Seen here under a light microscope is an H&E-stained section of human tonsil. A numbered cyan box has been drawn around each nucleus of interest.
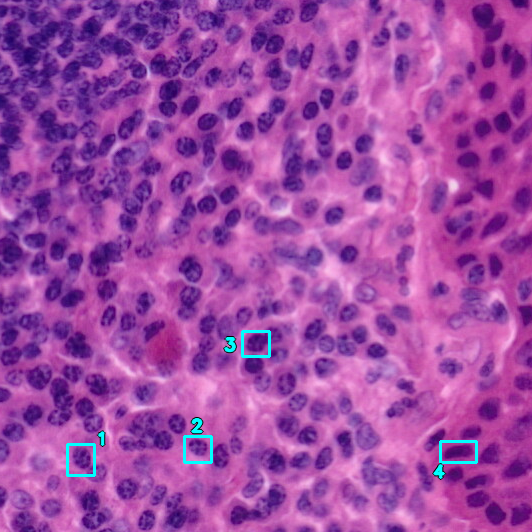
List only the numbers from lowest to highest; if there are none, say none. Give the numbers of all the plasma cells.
1, 2, 3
